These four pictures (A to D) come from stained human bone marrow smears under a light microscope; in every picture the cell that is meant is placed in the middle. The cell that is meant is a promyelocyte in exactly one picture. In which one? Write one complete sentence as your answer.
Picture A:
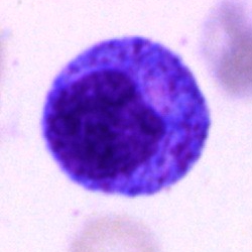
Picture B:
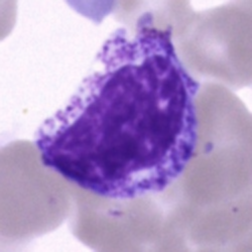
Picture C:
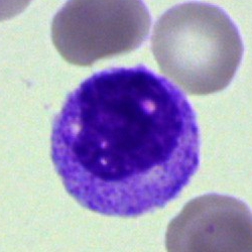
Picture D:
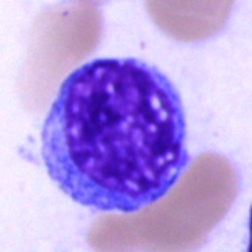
The cell in picture A is the promyelocyte.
